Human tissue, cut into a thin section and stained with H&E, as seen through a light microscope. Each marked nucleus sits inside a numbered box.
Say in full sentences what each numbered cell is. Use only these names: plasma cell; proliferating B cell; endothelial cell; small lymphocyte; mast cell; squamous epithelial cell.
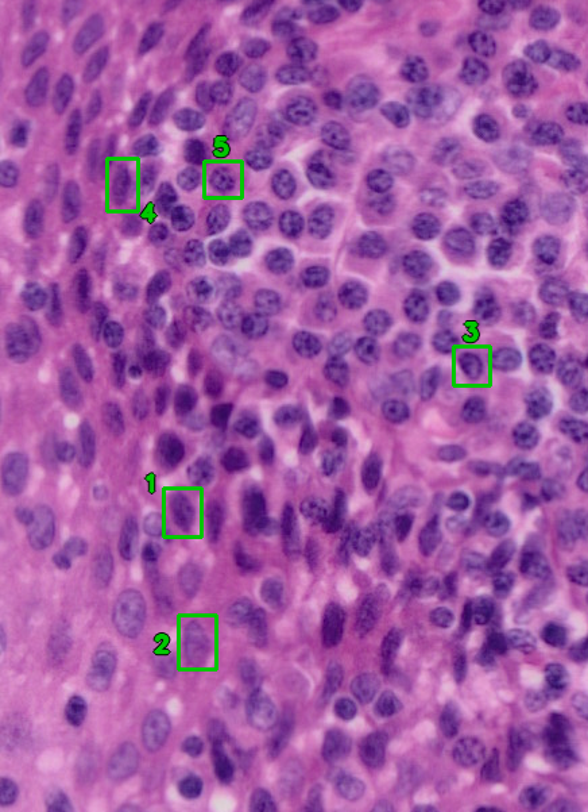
Cell 1 is a squamous epithelial cell, cell 2 is a squamous epithelial cell, cell 3 is a plasma cell, cell 4 is a squamous epithelial cell and cell 5 is a plasma cell.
